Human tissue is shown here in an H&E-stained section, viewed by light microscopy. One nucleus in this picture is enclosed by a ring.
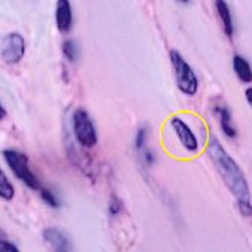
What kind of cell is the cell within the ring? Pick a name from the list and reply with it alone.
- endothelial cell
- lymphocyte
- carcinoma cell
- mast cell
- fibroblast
lymphocyte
